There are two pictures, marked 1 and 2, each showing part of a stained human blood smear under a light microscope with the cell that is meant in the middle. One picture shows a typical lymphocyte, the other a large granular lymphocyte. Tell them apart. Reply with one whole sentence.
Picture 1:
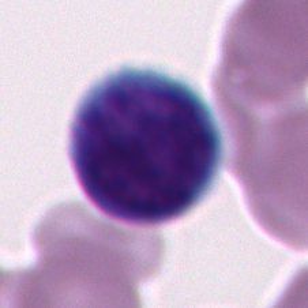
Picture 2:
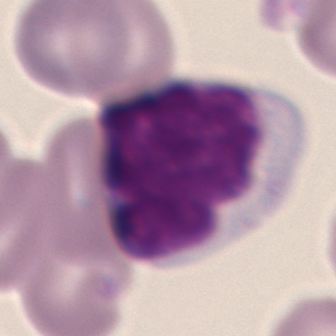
The cell in picture 1 is a typical lymphocyte, and the one in picture 2 is a large granular lymphocyte.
